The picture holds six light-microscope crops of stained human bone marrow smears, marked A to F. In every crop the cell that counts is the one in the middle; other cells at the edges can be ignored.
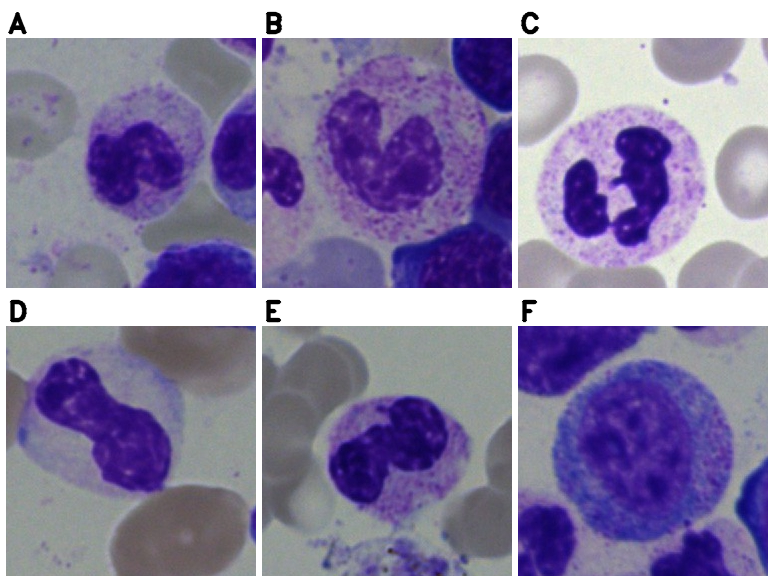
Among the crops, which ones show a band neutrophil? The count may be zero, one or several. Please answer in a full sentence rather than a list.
The central cells found in crops A, B, D and E are band neutrophils.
